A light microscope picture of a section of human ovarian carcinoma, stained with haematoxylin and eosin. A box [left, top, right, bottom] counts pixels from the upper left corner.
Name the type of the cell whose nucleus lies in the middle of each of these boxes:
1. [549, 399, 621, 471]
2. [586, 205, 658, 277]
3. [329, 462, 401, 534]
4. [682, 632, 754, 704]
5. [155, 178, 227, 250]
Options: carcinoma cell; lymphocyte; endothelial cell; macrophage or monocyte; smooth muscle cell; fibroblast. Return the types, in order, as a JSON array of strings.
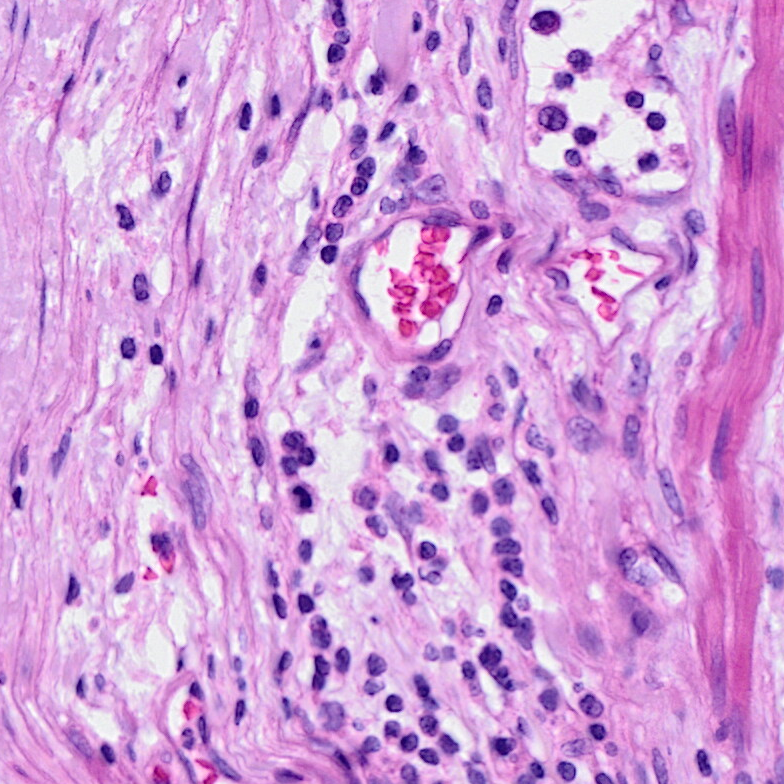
["fibroblast", "endothelial cell", "macrophage or monocyte", "smooth muscle cell", "fibroblast"]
